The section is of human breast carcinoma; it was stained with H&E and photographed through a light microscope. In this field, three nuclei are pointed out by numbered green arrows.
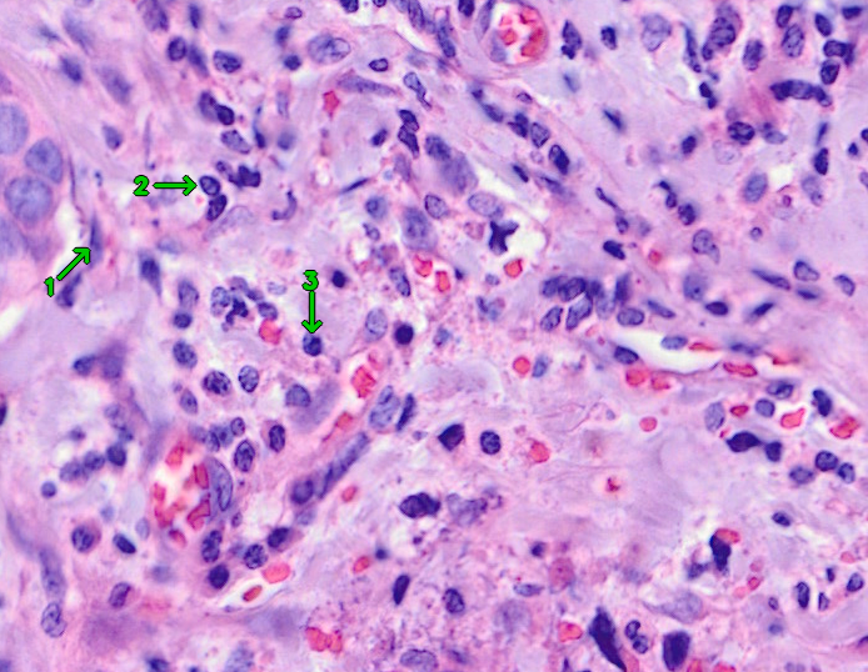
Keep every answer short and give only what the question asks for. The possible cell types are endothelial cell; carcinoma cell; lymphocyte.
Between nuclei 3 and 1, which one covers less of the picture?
3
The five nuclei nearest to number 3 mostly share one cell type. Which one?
endothelial cell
